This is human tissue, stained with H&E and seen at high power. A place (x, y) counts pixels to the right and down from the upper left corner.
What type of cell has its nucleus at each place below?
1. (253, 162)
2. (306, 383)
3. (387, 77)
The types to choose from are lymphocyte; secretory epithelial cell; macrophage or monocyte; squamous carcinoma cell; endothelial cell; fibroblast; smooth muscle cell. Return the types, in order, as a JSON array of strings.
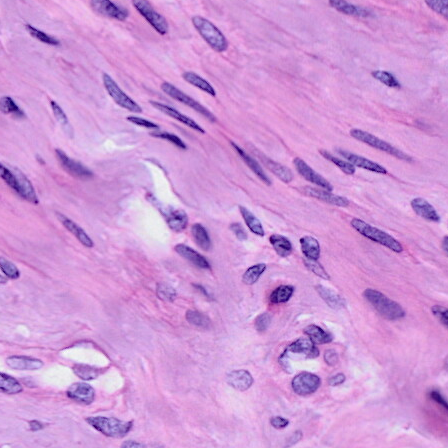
["fibroblast", "endothelial cell", "fibroblast"]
